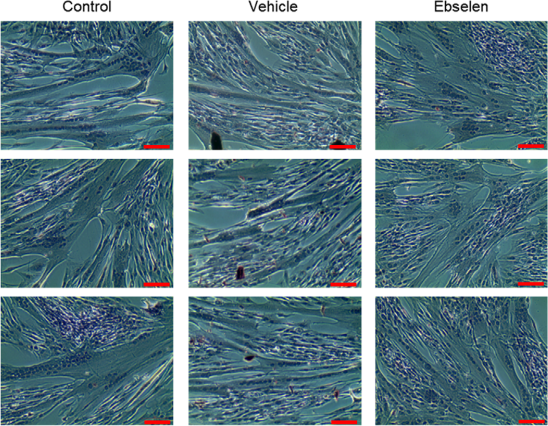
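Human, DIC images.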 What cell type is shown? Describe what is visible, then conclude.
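Long, broad, spindle-shaped cells run in roughly parallel bundles. The elongated cells are far longer than the small spindle-shaped cells beside them. The answer: myotubes.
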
